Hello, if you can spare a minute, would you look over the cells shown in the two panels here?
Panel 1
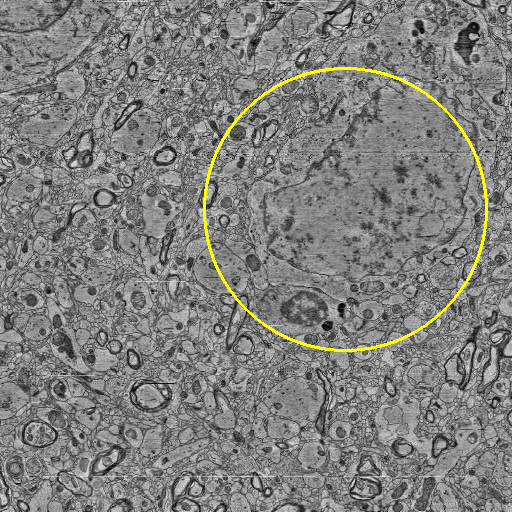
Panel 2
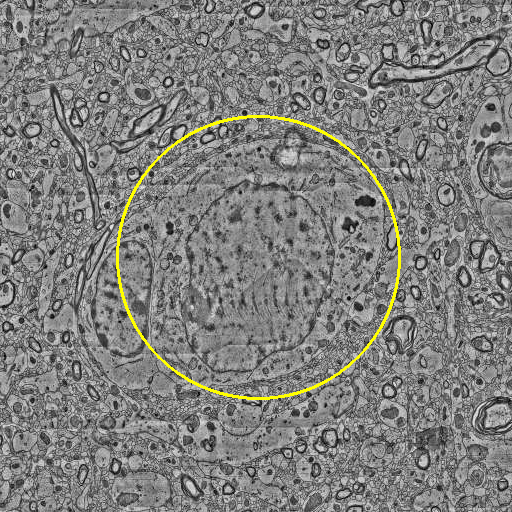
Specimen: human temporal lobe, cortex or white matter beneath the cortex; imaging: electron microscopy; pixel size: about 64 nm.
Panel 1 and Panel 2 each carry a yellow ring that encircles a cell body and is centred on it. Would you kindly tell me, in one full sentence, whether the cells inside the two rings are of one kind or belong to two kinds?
The cells at the centres of the rings in Panel 1 and Panel 2 are of one kind.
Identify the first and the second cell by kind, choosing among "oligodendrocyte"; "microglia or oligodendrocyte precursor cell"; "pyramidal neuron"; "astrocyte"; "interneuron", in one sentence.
Both rings mark an interneuron, one in each picture.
